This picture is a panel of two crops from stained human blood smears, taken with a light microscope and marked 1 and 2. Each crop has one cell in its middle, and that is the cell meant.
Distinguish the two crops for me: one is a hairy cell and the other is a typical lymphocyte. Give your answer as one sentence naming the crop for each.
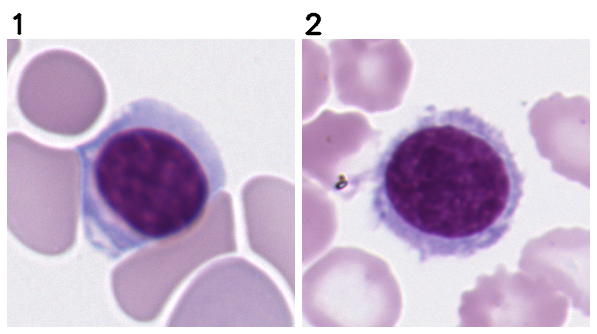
The crop marked 1 shows a typical lymphocyte; the crop marked 2 shows a hairy cell.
